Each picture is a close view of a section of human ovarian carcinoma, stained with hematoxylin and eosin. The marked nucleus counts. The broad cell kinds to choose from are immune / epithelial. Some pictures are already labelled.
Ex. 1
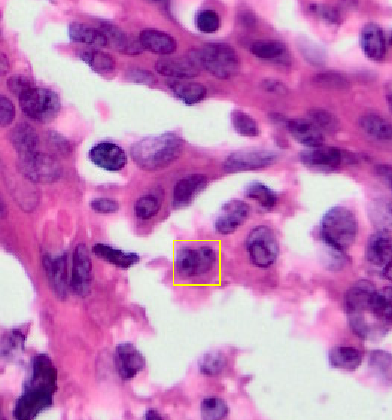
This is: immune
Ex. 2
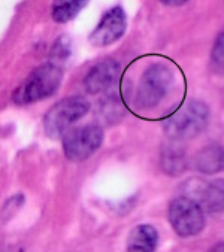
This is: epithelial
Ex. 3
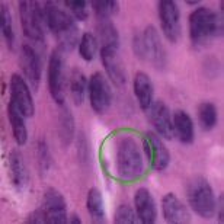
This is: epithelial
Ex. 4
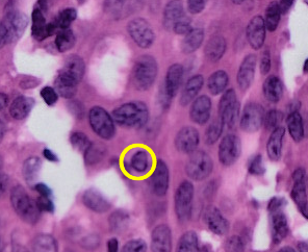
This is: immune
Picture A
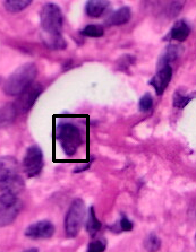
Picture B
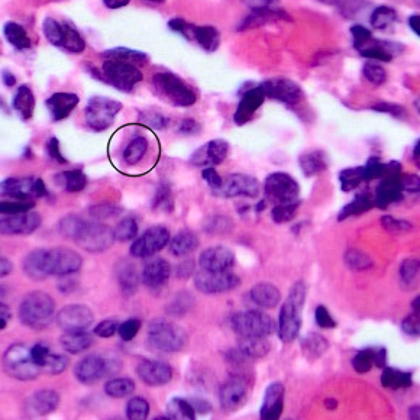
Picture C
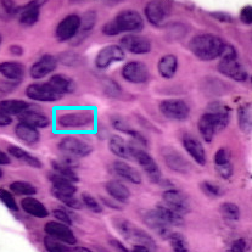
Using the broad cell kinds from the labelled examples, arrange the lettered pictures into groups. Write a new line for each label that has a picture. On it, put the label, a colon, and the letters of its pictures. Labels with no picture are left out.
immune: B
epithelial: A, C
